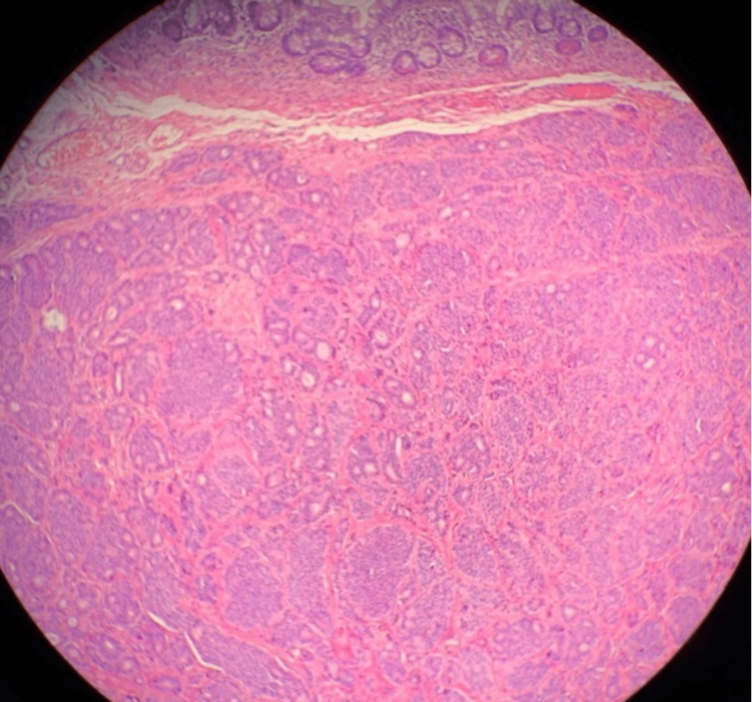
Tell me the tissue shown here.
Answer: Well-differentiated neuroendocrine tumor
